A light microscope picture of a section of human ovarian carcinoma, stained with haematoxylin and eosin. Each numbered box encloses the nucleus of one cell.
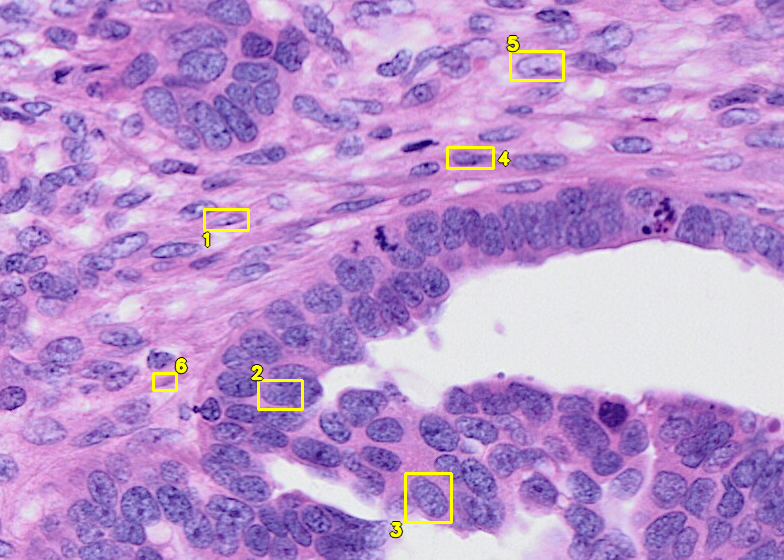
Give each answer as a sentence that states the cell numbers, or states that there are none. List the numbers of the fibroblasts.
Here, the cells that carry numbers 1, 4, 5 and 6 are fibroblasts.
